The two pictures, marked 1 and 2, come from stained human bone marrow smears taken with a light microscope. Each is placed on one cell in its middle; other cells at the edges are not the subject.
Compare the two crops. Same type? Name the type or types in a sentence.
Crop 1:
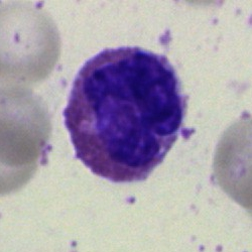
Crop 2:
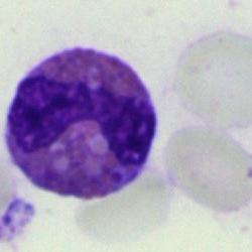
Yes, both crops contain eosinophils at their centres.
